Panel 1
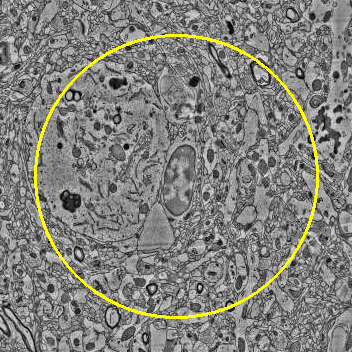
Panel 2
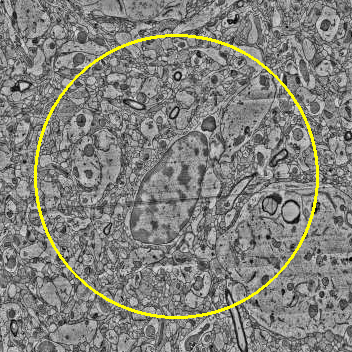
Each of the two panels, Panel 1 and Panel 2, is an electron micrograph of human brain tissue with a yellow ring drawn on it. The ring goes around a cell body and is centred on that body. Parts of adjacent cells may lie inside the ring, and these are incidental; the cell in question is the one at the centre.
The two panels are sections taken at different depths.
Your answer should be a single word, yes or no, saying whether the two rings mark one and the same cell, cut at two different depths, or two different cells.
no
